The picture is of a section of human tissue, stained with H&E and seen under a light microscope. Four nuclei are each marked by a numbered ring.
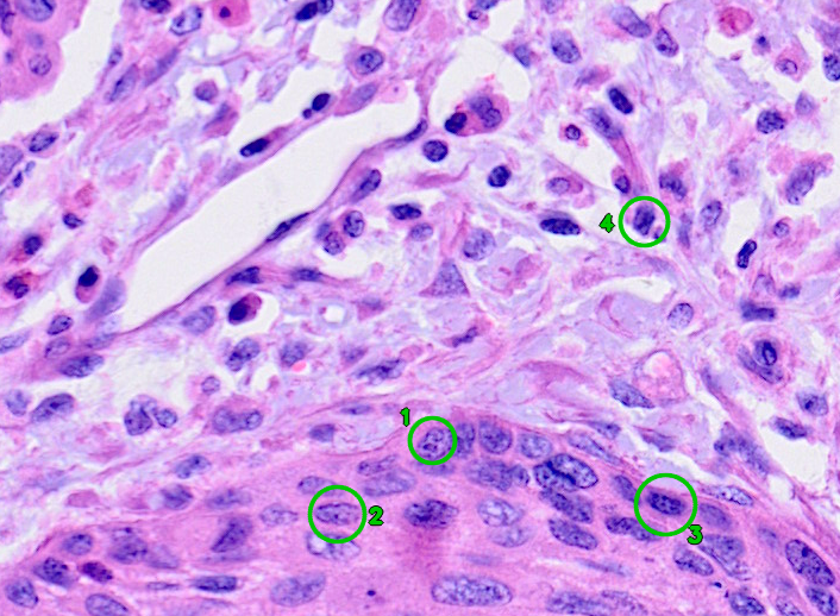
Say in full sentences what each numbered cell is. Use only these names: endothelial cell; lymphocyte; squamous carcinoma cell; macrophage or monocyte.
Cells 1, 2 and 3 are squamous carcinoma cells. Cell 4 is a lymphocyte.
